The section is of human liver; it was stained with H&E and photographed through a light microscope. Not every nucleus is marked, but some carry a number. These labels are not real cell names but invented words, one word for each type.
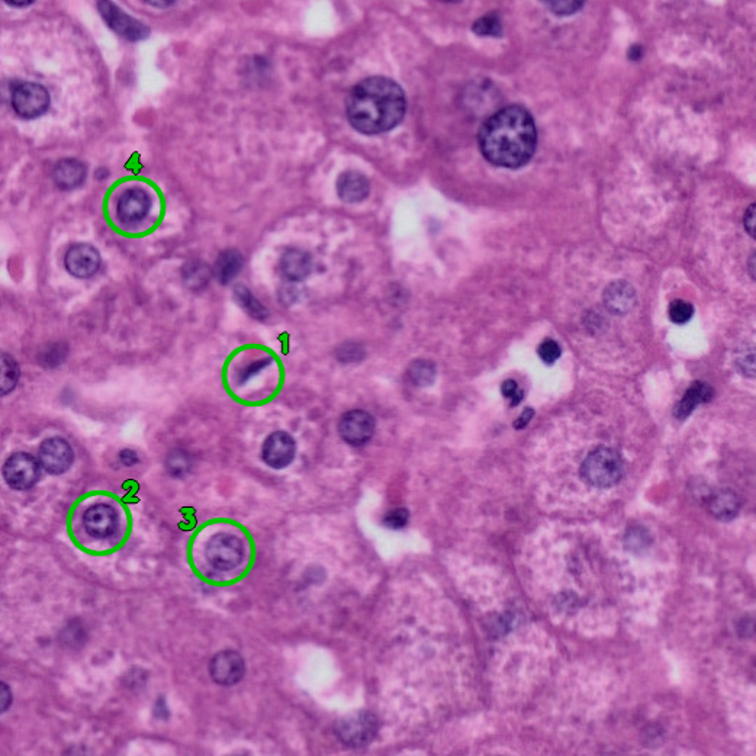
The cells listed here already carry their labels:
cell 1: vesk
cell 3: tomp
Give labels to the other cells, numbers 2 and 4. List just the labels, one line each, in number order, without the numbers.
tomp
tomp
